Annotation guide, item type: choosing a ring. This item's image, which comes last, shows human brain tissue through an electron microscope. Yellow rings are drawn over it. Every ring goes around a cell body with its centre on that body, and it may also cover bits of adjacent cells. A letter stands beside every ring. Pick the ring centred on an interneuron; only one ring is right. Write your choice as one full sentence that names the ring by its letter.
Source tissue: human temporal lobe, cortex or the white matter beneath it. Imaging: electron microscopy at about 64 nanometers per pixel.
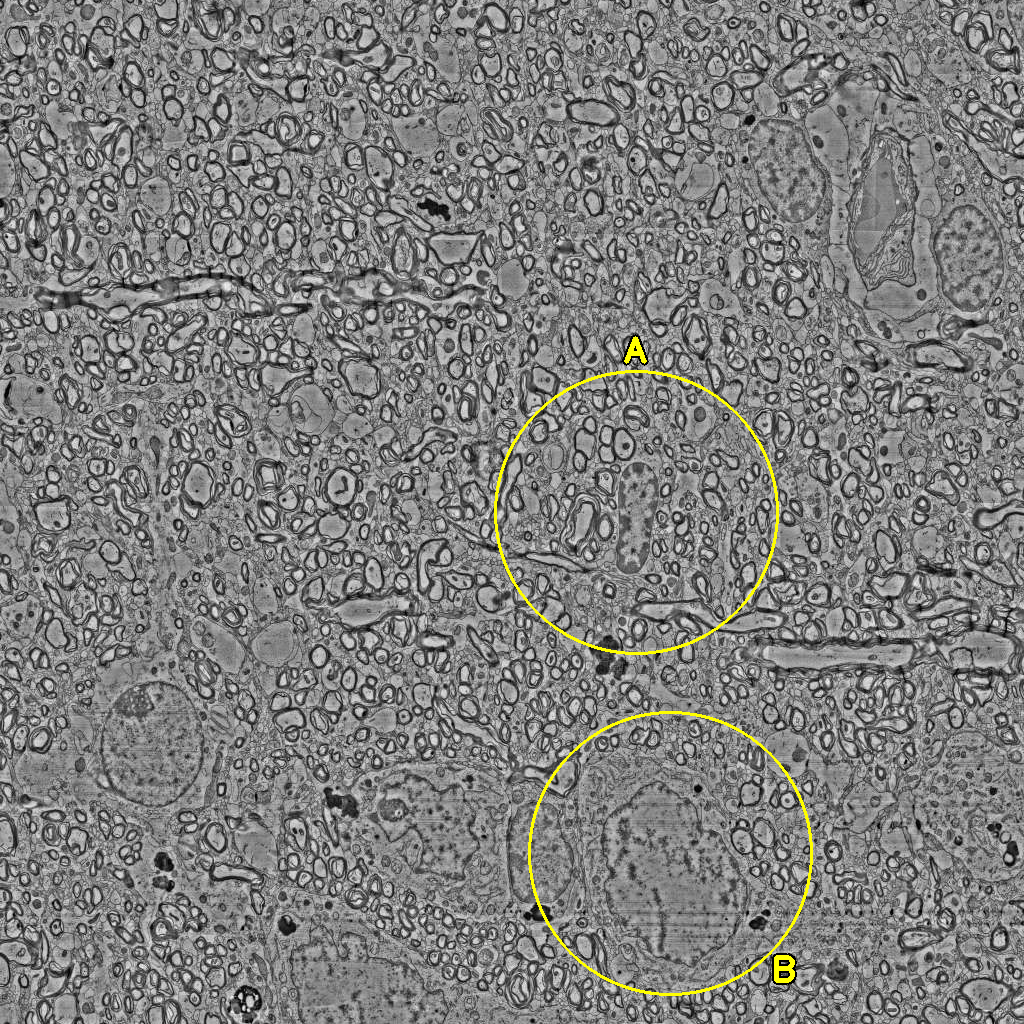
In the image, Ring B is centred on a cell of the kind requested.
